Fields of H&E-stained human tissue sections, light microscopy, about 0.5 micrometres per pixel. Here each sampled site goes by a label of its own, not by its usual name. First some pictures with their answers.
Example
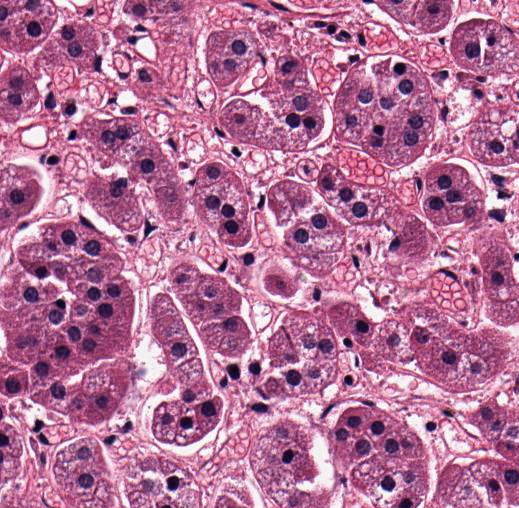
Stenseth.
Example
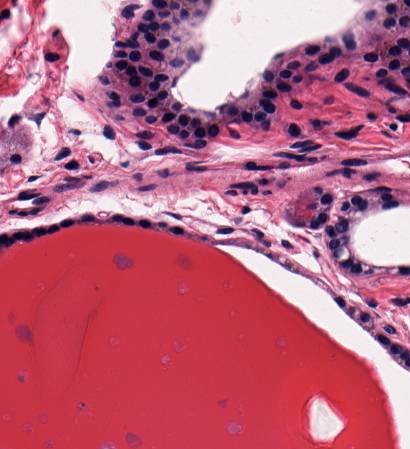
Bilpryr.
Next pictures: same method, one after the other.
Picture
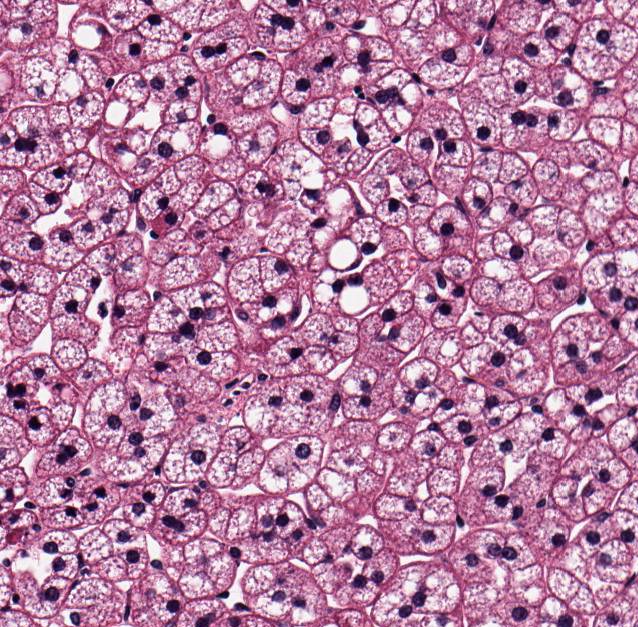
Stenseth.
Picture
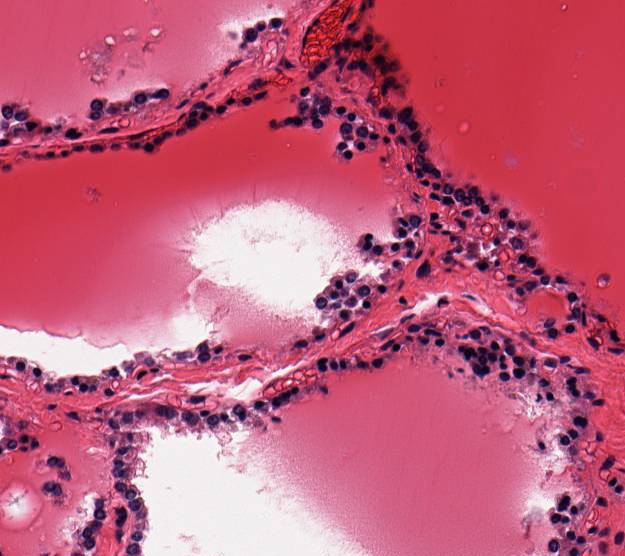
Bilpryr.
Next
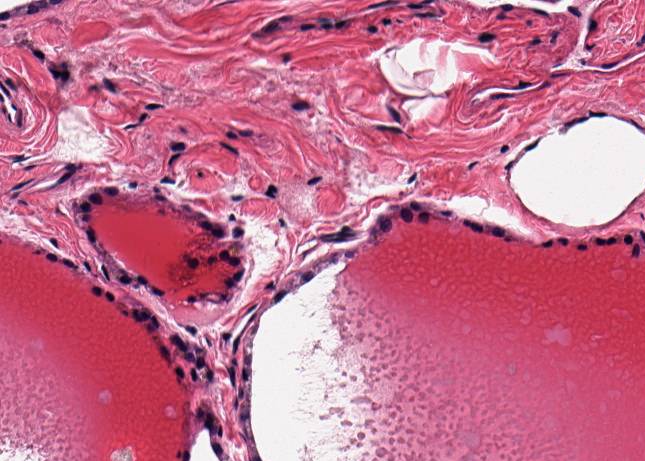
Bilpryr.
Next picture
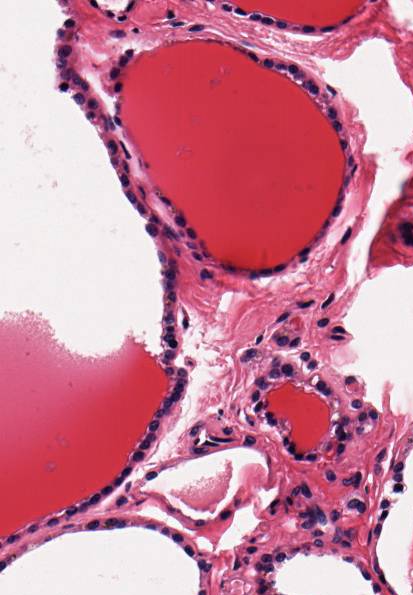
Bilpryr.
